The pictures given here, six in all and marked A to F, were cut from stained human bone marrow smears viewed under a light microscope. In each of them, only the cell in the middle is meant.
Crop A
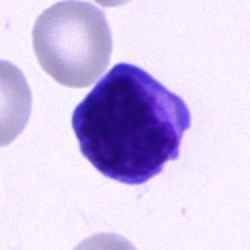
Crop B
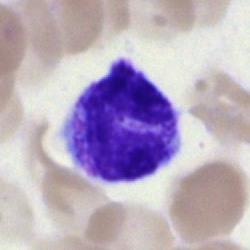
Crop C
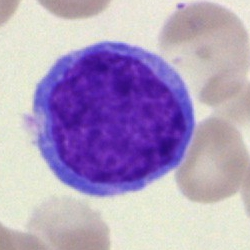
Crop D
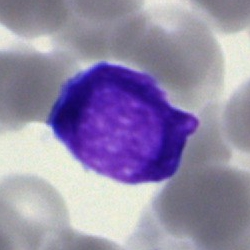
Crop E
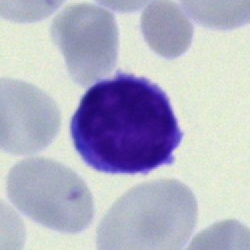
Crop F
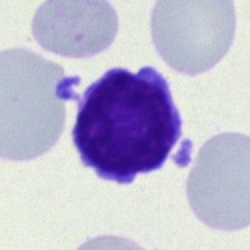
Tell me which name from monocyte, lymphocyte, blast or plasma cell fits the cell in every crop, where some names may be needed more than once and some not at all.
A: blast
B: monocyte
C: blast
D: blast
E: lymphocyte
F: lymphocyte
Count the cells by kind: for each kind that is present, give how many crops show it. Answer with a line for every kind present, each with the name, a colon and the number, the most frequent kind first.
blast: 3
lymphocyte: 2
monocyte: 1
